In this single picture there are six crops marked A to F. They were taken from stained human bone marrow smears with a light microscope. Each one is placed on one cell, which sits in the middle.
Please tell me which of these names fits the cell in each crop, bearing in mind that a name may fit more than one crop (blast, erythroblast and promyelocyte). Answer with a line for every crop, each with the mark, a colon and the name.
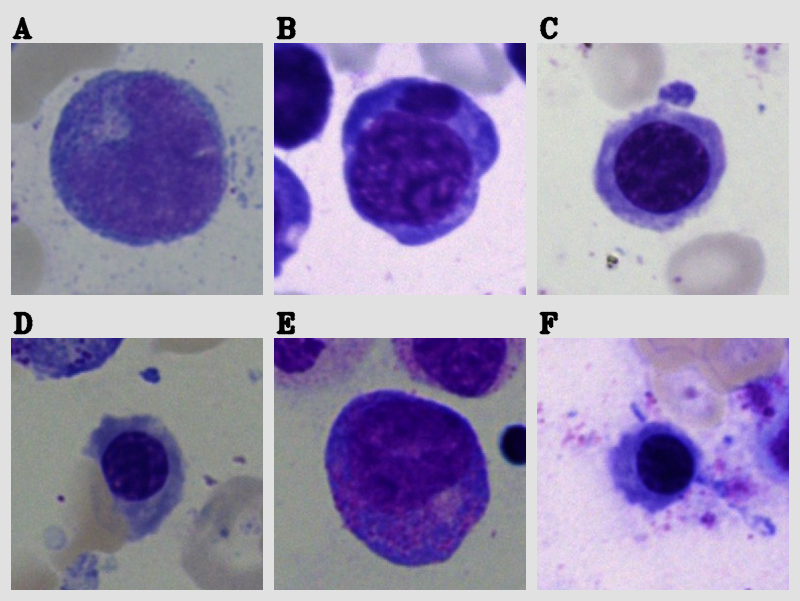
A: promyelocyte
B: blast
C: erythroblast
D: erythroblast
E: promyelocyte
F: erythroblast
